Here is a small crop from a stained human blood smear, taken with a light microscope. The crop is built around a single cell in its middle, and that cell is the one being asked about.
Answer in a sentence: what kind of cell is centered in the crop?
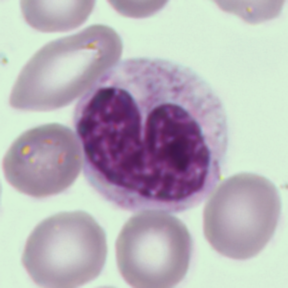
Framed in the middle of the crop is a band neutrophil.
